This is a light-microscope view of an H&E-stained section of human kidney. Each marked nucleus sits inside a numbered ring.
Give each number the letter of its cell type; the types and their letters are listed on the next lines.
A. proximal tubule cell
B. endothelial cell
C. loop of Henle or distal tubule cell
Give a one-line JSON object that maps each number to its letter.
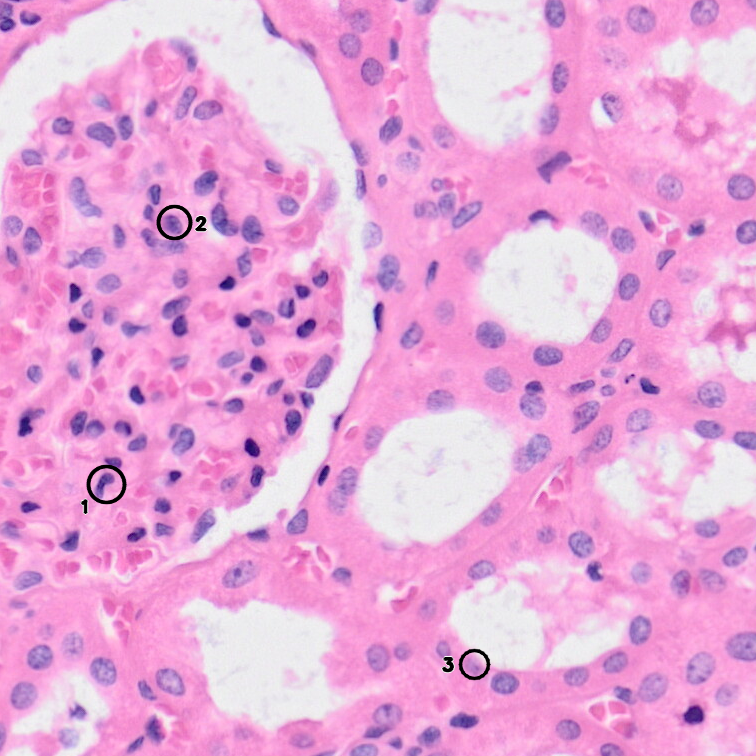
{"1": "B", "2": "B", "3": "C"}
